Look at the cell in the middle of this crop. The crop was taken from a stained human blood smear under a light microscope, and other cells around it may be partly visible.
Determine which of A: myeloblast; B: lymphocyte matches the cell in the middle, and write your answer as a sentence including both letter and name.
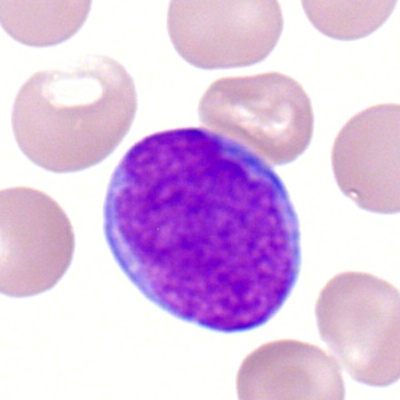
Correctly, option A names the cell in the middle a myeloblast.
